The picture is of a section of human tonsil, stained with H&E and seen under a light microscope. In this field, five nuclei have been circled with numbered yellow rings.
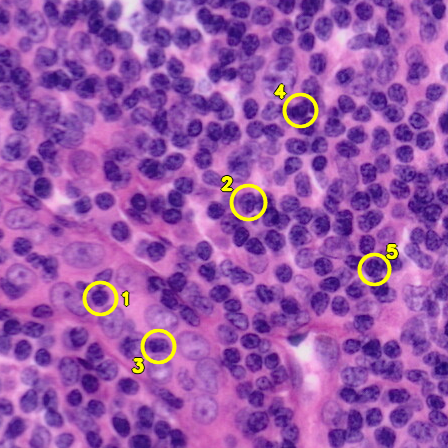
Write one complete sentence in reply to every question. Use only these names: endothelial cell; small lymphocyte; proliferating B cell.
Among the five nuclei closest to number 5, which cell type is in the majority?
Of the five nuclei nearest to number 5, most belong to small lymphocytes.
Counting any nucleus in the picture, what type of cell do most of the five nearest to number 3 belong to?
Around number 3, most of the five nearest nuclei are those of endothelial cells.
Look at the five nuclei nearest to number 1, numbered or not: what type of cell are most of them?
Most of the five nuclei nearest to number 1 are those of endothelial cells.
